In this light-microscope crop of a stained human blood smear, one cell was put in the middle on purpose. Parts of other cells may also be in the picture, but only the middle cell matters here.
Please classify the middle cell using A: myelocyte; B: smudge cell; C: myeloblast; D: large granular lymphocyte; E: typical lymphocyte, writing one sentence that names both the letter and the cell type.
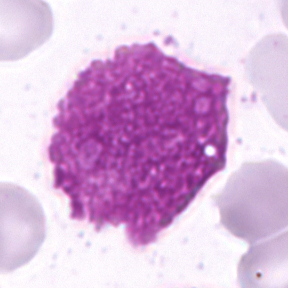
The correct identification, given in option B, is that the central cell is a smudge cell.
